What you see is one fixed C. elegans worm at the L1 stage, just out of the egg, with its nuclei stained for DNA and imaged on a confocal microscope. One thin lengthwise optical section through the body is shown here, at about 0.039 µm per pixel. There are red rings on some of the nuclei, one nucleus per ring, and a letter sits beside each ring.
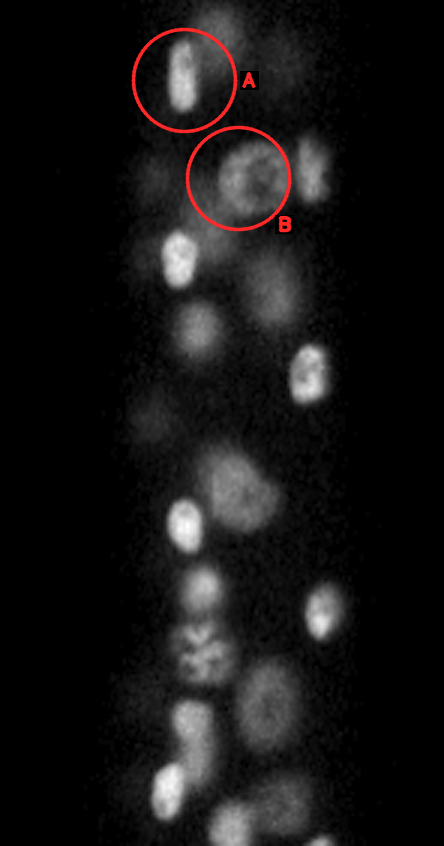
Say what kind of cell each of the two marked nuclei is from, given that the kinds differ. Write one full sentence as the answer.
A is from a body wall muscle cell, and B is from an M mesoblast.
